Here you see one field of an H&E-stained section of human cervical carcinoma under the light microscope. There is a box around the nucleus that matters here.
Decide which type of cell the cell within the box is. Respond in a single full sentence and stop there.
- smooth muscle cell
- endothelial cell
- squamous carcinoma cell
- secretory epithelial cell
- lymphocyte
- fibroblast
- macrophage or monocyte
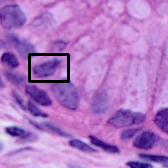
To be brief about it, the cell within the box is a secretory epithelial cell.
